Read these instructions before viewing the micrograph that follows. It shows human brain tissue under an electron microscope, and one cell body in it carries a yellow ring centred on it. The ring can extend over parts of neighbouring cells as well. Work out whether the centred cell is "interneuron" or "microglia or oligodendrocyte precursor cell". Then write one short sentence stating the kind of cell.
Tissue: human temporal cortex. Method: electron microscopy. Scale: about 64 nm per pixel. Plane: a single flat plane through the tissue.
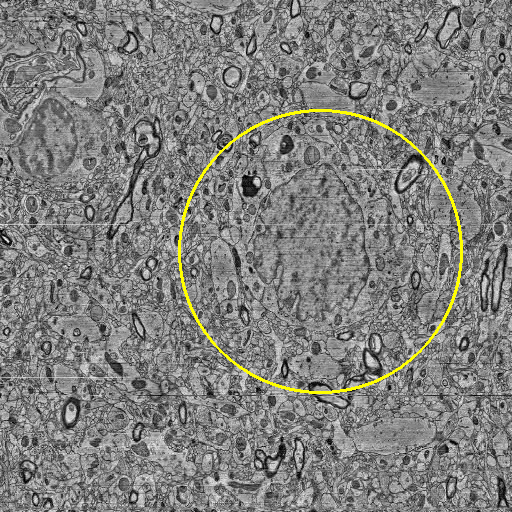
The ringed cell is an interneuron.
